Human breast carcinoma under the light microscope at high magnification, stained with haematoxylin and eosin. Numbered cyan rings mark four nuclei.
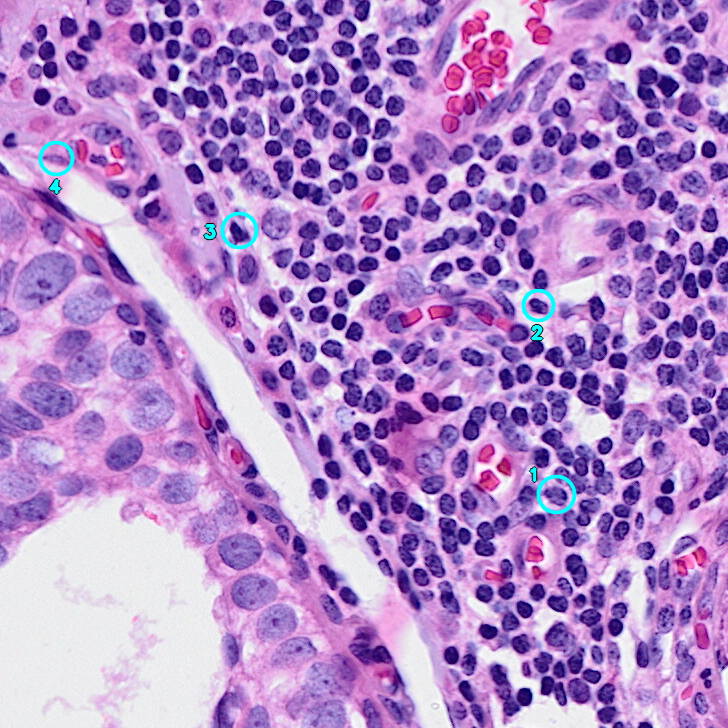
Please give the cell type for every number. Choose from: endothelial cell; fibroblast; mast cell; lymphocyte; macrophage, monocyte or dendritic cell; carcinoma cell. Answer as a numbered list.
1. lymphocyte
2. lymphocyte
3. lymphocyte
4. endothelial cell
